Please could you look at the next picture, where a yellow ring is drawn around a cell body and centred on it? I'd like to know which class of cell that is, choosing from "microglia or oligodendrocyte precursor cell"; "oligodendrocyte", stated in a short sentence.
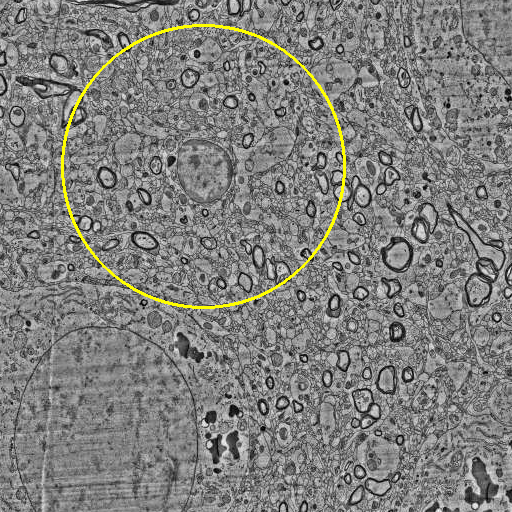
The ring's centre lies on a microglial cell or oligodendrocyte precursor cell.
